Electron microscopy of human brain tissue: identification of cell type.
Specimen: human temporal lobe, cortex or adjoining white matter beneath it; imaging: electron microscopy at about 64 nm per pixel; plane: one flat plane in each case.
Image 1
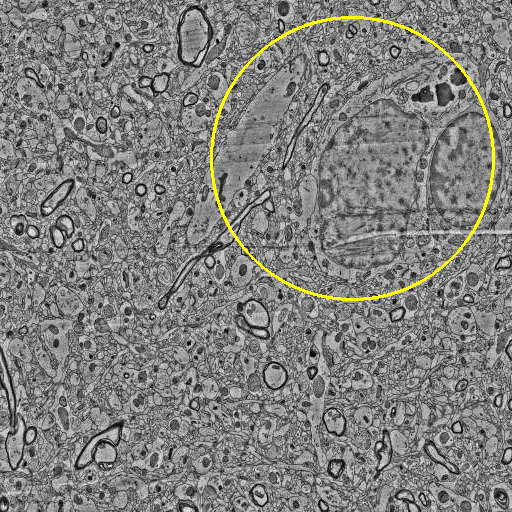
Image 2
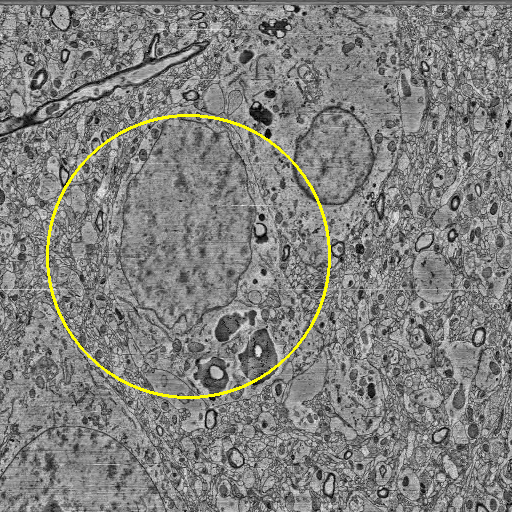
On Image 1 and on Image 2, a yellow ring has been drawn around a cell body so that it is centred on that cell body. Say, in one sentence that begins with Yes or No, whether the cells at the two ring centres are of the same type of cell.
Yes, both cells are the same type of cell.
